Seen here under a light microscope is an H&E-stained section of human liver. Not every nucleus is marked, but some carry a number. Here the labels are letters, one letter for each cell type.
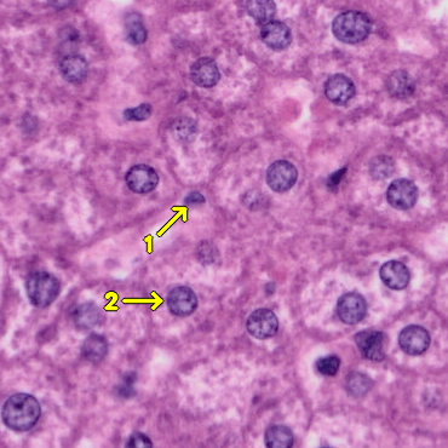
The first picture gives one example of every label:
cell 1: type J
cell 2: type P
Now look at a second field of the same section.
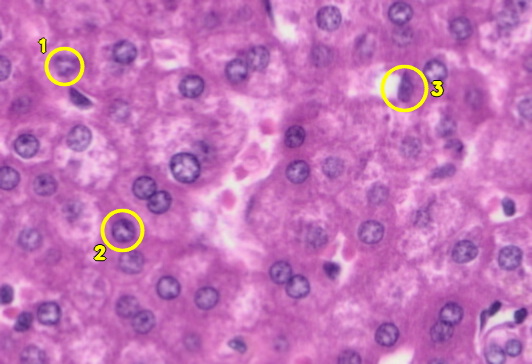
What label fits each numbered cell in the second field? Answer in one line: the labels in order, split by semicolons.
type P; type P; type J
